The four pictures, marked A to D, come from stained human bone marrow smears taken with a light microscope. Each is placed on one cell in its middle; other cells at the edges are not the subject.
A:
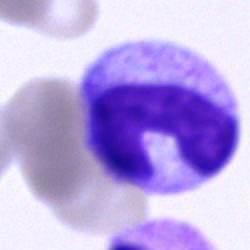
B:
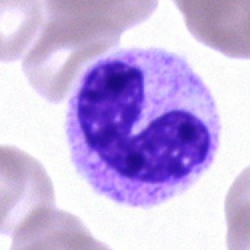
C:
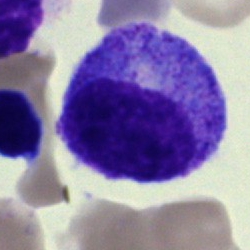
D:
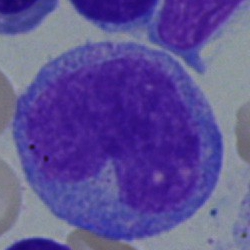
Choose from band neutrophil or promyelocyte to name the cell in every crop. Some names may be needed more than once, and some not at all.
A: band neutrophil
B: band neutrophil
C: promyelocyte
D: promyelocyte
